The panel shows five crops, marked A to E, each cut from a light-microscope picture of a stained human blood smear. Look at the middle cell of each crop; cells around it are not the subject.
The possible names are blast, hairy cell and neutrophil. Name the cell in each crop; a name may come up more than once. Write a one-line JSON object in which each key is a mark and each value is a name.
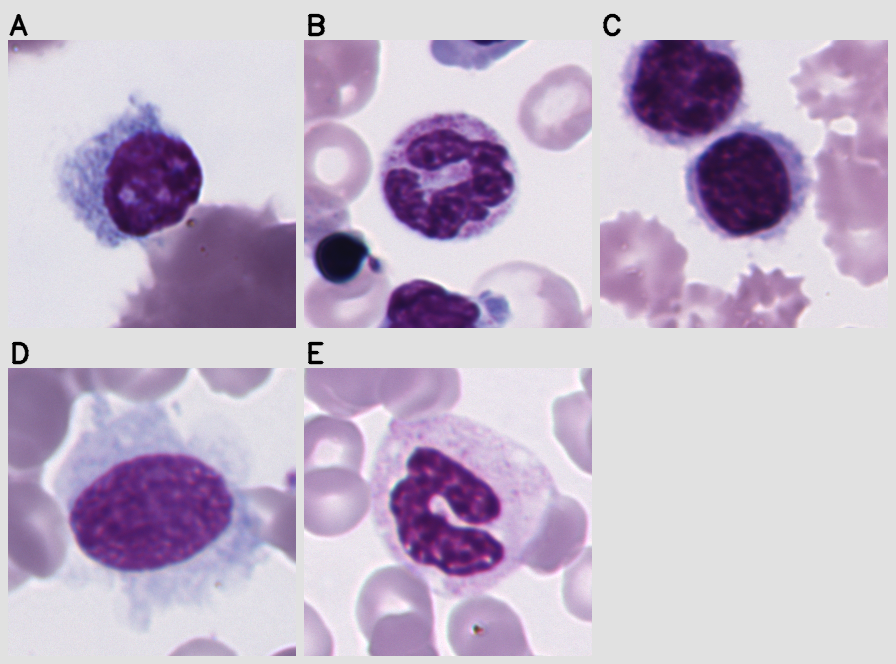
{"A": "hairy cell", "B": "neutrophil", "C": "hairy cell", "D": "hairy cell", "E": "neutrophil"}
